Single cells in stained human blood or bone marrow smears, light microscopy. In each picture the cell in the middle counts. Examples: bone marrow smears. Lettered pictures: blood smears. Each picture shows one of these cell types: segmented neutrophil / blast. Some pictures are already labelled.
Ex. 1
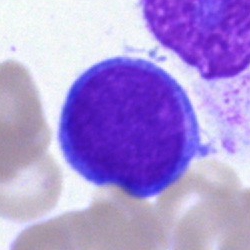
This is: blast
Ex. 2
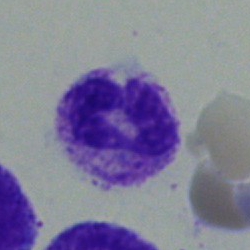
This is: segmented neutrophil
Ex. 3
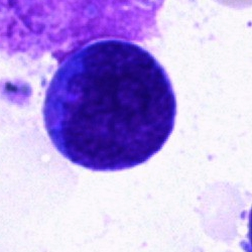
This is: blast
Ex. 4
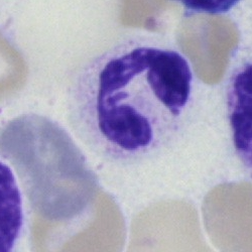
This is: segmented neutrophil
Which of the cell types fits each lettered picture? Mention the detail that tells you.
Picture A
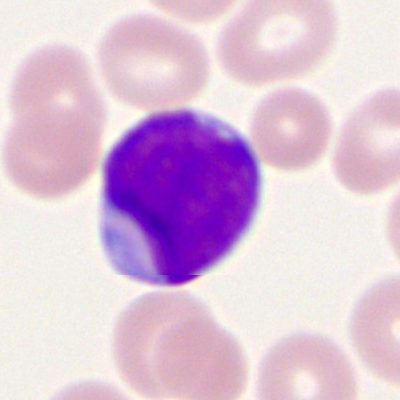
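blast: The nucleus fills most of the cell.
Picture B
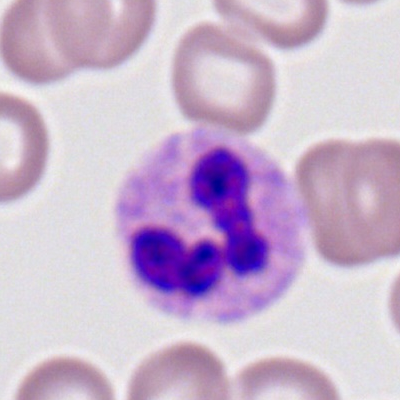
segmented neutrophil: The cytoplasm is plentiful and pale pinkish-lilac.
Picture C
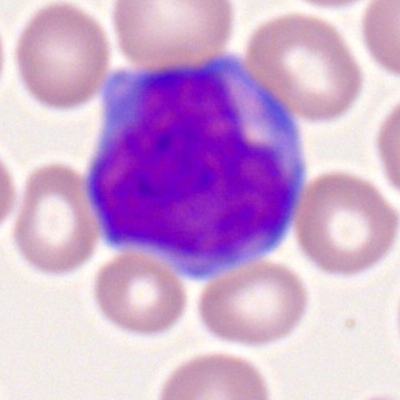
blast: The nucleus is a single unlobed mass that fills most of the cell.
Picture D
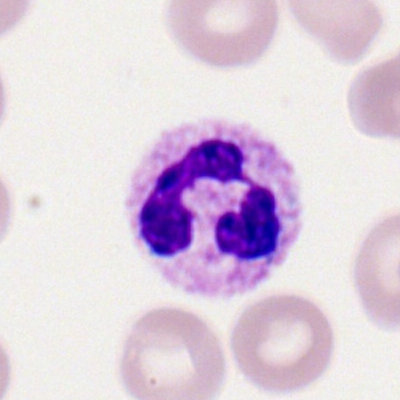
segmented neutrophil: The nucleus is divided into several lobes joined together.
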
